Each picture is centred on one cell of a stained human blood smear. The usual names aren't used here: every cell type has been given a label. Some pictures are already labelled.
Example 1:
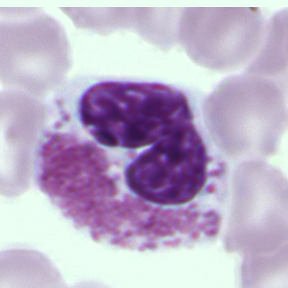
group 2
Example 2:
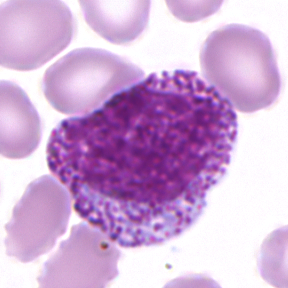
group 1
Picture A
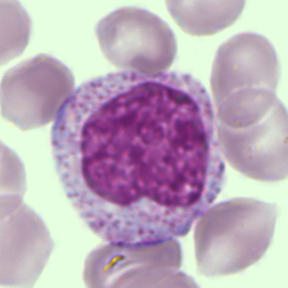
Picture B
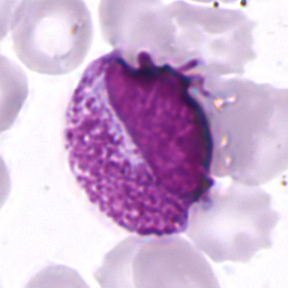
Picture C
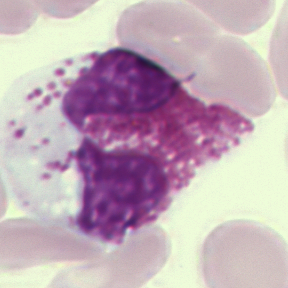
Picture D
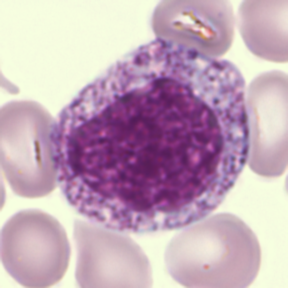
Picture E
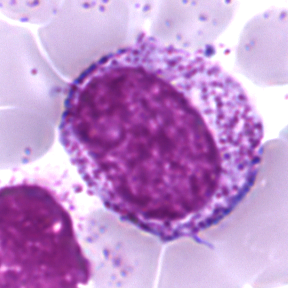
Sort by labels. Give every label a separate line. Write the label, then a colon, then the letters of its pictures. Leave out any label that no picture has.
group 2: C
group 1: A, B, D, E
